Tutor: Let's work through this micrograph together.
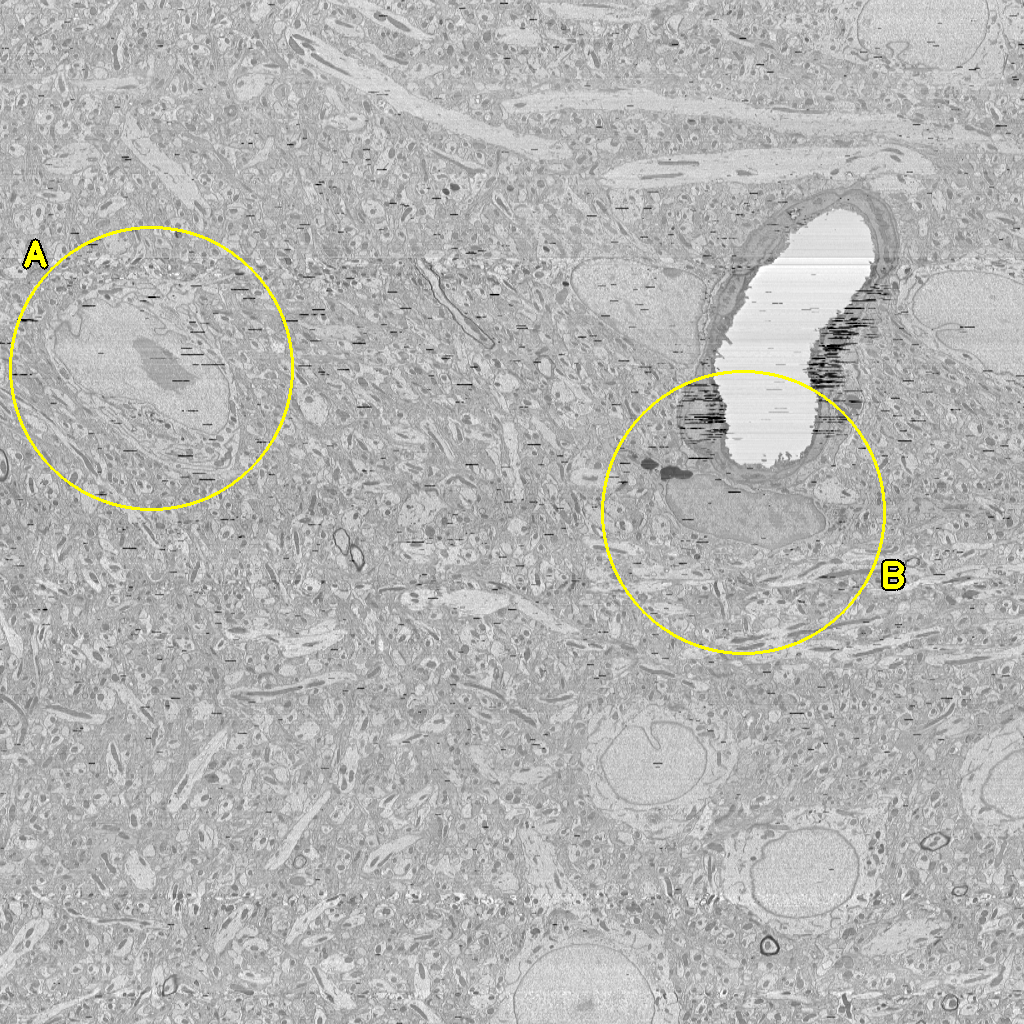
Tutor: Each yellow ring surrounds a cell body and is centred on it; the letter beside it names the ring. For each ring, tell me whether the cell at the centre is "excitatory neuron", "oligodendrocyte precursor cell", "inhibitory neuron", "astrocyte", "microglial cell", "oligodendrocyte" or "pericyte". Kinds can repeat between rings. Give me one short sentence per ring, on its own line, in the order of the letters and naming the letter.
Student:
The ring labelled A is centred on an inhibitory neuron.
The ring labelled B is centred on a microglial cell.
